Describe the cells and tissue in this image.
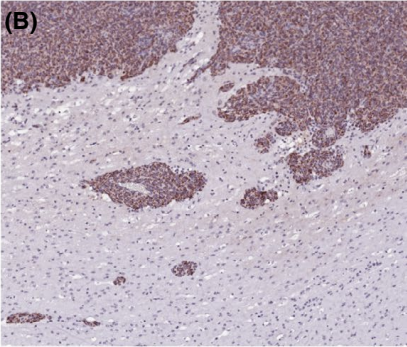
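A densely cellular tumour mass across the top, with several small detached nests, is stained brown, and it borders pale normal brain tissue. The brain tissue has a loose, fibrillary background with sparse, scattered small nuclei and no brown staining, whereas the tumour is crowded with closely packed nuclei.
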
